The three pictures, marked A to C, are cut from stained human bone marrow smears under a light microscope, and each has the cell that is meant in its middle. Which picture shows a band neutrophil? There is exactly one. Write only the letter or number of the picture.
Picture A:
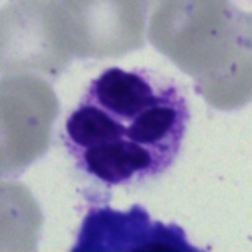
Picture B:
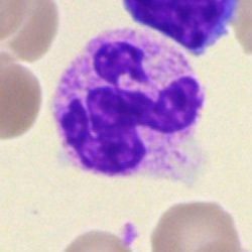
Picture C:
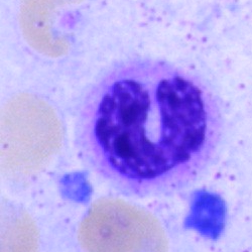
C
